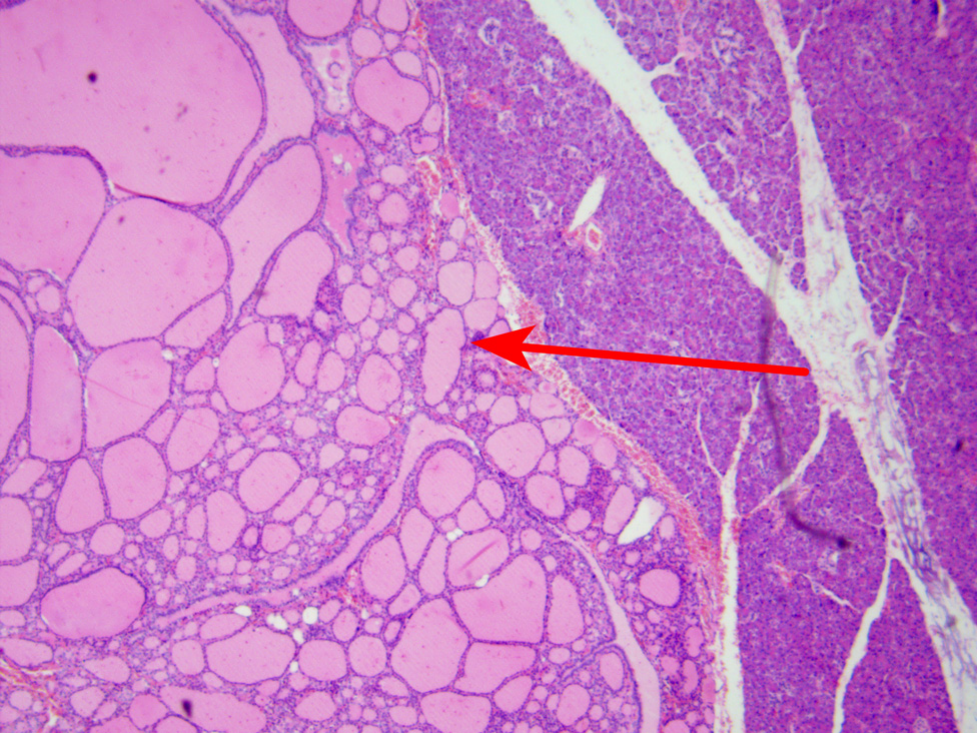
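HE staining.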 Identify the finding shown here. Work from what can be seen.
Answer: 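The follicles range from very large cavities at the upper left to small round ones near the border. All follicles contain pale pink homogeneous content.
Conclusion: follicles of varying sizes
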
